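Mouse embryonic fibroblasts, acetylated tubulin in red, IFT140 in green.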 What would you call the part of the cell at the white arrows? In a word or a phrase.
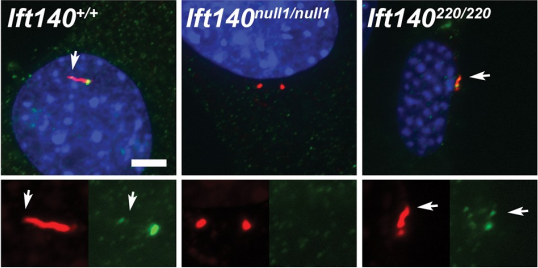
Ciliary tip.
